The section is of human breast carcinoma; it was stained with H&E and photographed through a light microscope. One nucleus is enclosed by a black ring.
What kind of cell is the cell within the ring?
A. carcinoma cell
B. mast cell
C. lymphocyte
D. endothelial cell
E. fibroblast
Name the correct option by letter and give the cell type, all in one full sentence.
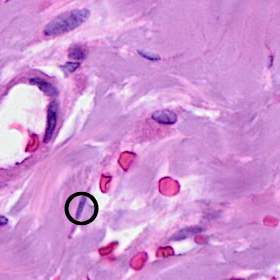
Option E is the right choice, for the cell within the ring is a fibroblast.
